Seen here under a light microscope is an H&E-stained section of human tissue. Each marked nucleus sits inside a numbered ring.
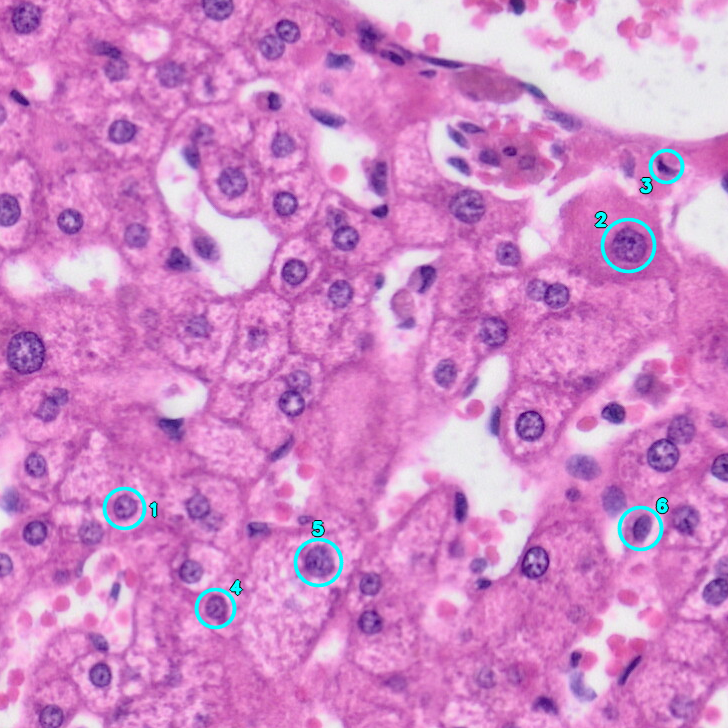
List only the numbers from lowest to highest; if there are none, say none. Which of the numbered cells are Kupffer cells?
6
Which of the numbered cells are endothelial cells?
none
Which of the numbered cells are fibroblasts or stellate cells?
3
